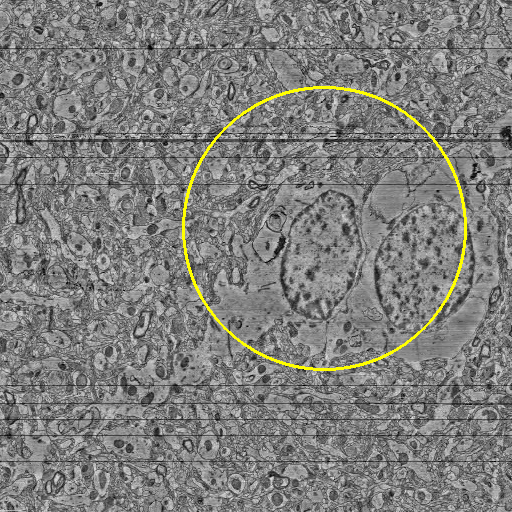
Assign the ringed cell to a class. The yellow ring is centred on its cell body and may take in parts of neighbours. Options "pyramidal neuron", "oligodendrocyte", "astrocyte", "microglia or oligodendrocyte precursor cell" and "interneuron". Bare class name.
astrocyte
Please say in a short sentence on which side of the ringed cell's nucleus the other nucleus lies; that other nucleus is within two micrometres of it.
The other nucleus can be seen to the right of it.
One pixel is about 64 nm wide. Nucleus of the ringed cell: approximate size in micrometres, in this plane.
Roughly 8 by 5 micrometers, clearly longer than it is wide in this plane.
